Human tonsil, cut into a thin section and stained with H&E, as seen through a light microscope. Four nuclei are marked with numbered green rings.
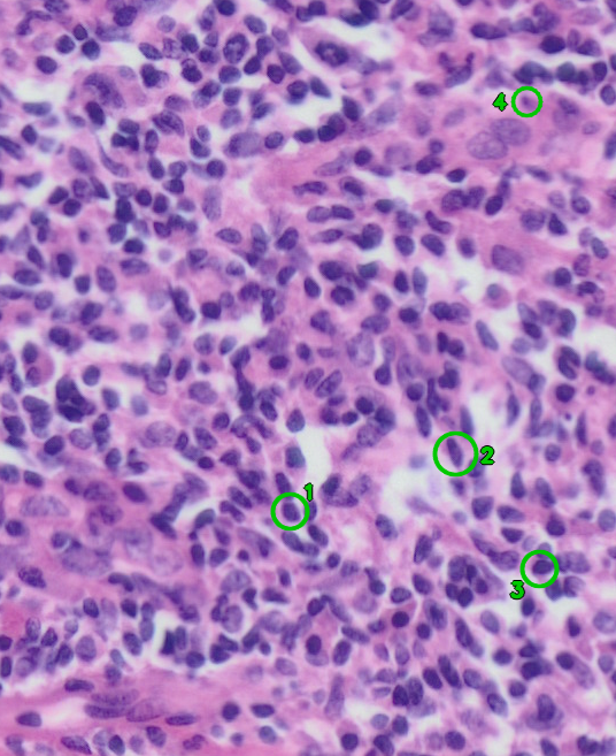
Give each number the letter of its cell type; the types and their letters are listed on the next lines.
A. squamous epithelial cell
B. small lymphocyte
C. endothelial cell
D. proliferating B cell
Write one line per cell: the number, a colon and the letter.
1: B
2: B
3: B
4: C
